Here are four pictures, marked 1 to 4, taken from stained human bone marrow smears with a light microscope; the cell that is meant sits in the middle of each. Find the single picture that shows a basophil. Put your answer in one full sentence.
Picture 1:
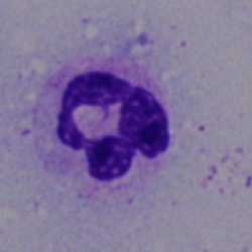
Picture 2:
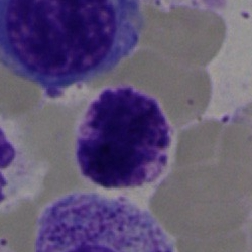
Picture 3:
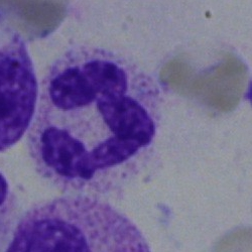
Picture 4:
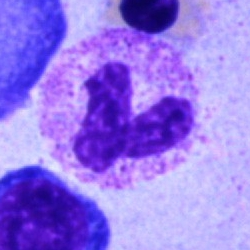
Picture 2 is the one that shows the basophil.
